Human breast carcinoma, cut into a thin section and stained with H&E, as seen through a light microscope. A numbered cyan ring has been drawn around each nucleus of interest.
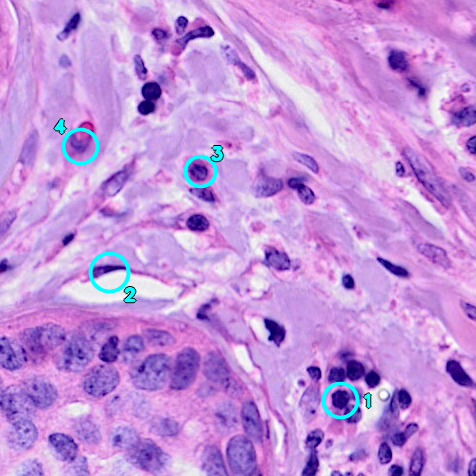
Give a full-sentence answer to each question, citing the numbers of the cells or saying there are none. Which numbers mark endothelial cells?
Of the numbered cells, only cell 4 is an endothelial cell.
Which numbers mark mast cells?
Cell number 3 alone is a mast cell; the rest are not.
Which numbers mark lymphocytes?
Only the cell numbered 1 qualifies as a lymphocyte among the marked cells.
